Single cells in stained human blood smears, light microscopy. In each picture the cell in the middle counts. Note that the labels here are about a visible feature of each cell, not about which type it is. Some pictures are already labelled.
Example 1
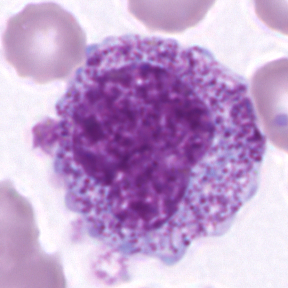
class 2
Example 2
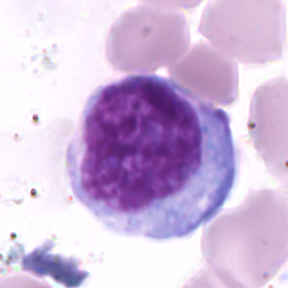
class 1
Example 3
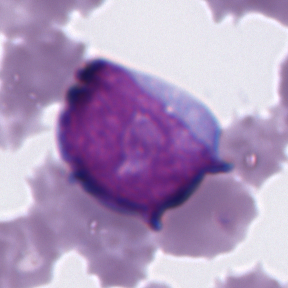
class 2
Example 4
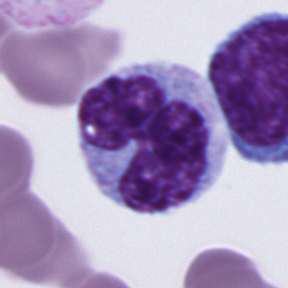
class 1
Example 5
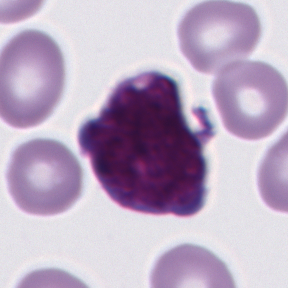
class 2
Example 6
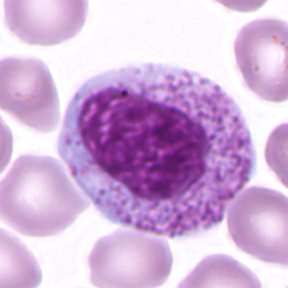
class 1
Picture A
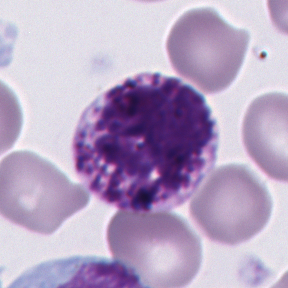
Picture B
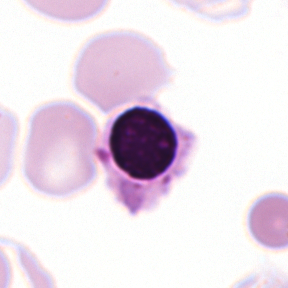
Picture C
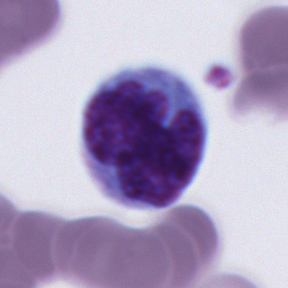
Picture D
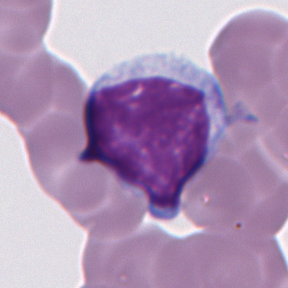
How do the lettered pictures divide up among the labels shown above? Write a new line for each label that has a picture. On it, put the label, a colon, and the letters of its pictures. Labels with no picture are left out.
class 2: B, D
class 1: A, C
